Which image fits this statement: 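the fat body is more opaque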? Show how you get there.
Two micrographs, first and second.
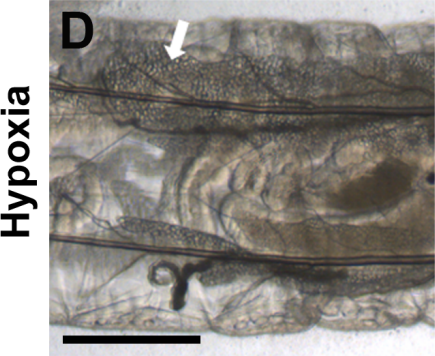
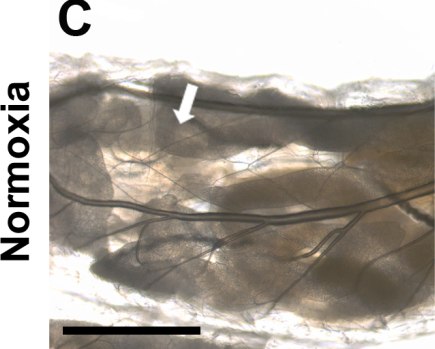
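The second image. First image: the fat body is pale and translucent, with individual rounded units visible inside it. Second image: the fat body forms dark, dense grey-brown lobes through which little detail shows.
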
